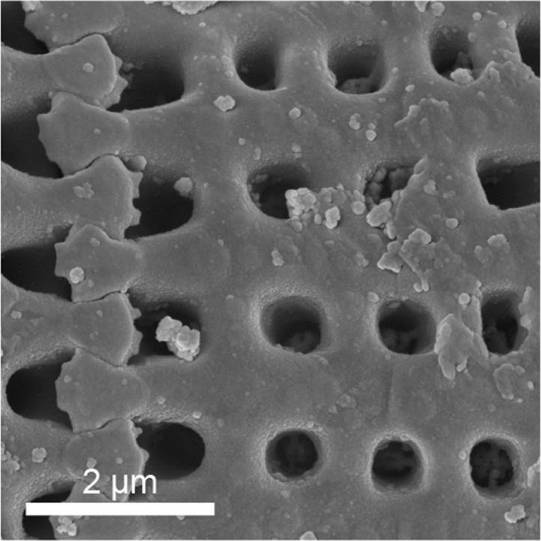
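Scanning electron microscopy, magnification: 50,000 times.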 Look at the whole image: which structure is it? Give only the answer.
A: Pores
